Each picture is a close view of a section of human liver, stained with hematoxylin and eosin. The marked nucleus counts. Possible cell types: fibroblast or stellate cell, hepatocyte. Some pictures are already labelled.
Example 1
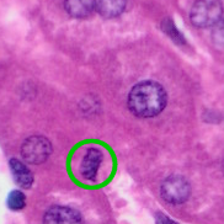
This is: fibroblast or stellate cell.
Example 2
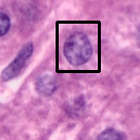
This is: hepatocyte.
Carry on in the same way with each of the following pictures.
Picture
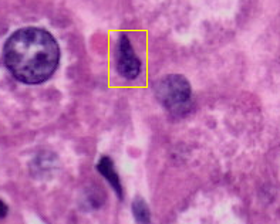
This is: fibroblast or stellate cell.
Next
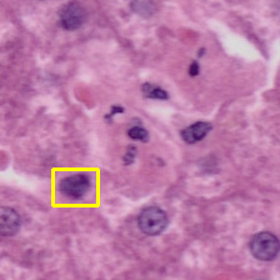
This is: fibroblast or stellate cell.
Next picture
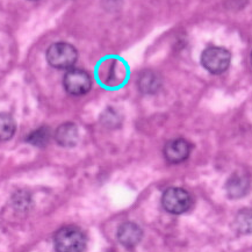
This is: fibroblast or stellate cell.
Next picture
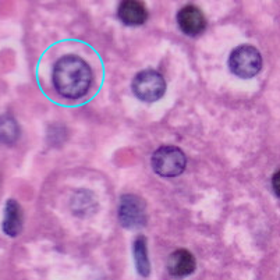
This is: hepatocyte.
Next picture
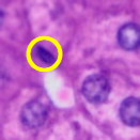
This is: fibroblast or stellate cell.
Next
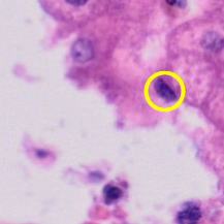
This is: fibroblast or stellate cell.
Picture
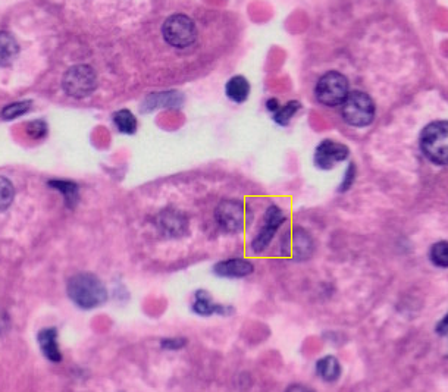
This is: fibroblast or stellate cell.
